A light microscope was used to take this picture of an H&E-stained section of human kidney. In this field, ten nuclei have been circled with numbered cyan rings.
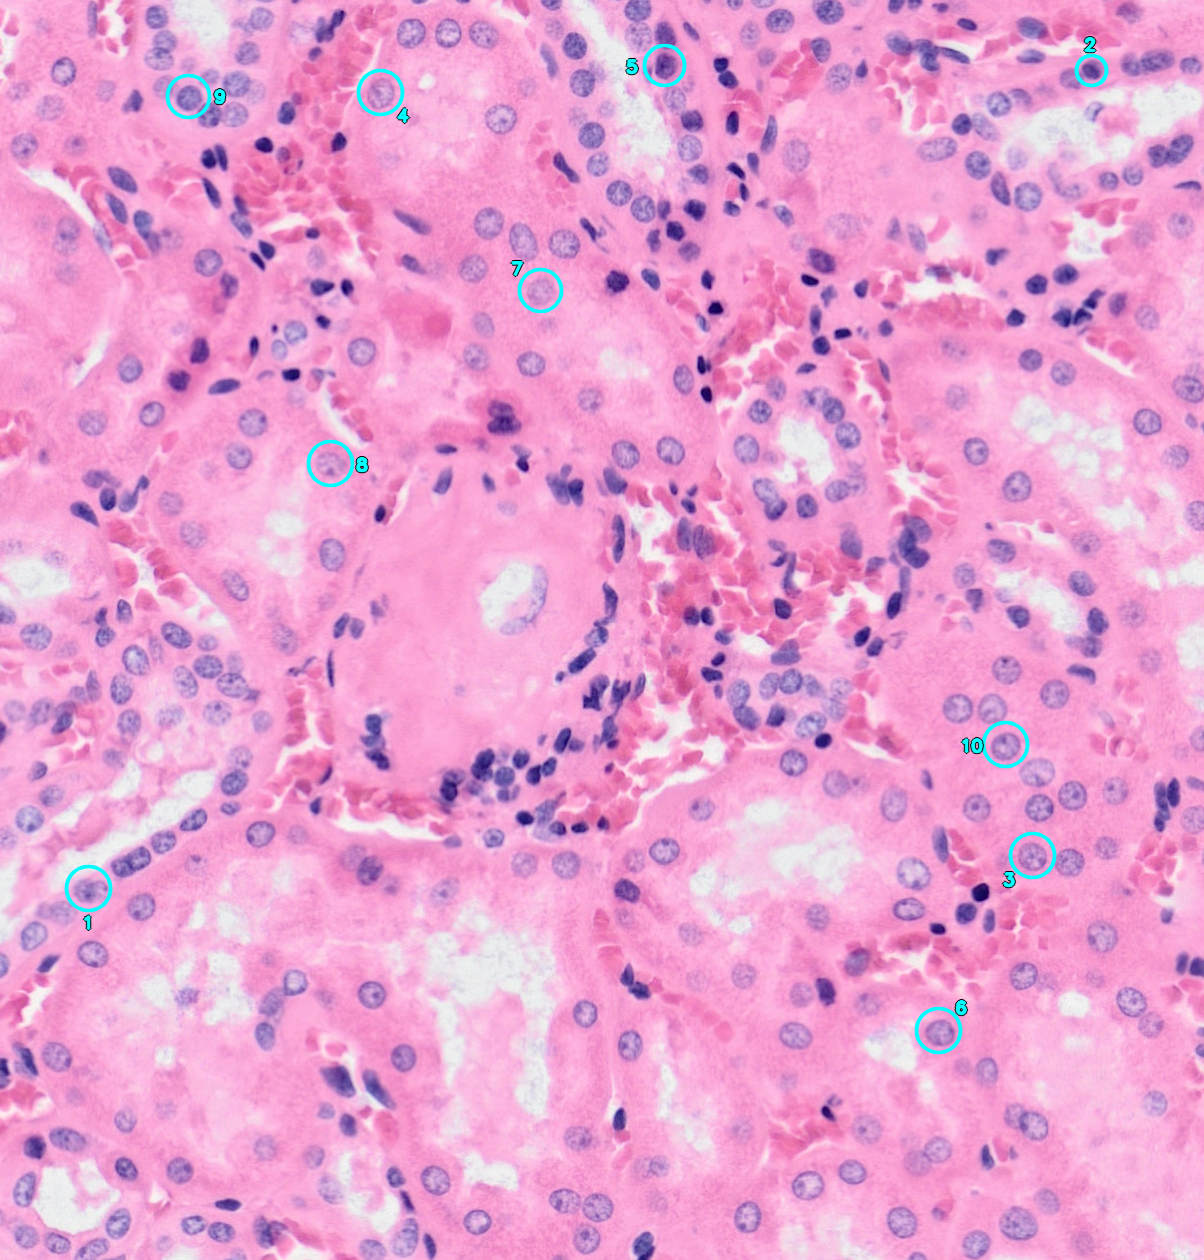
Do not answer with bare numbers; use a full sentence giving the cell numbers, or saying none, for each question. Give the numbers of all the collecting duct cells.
The cells numbered 1, 2, 5 and 9 are, by type, collecting duct cells.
